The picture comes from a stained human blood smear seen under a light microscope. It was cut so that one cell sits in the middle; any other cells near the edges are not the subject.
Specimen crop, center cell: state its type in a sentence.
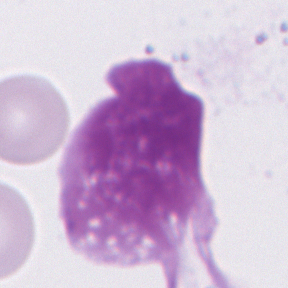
The middle of this crop is occupied by a smudge cell.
